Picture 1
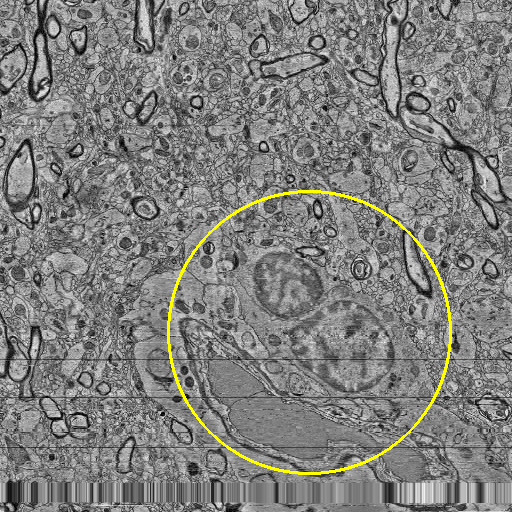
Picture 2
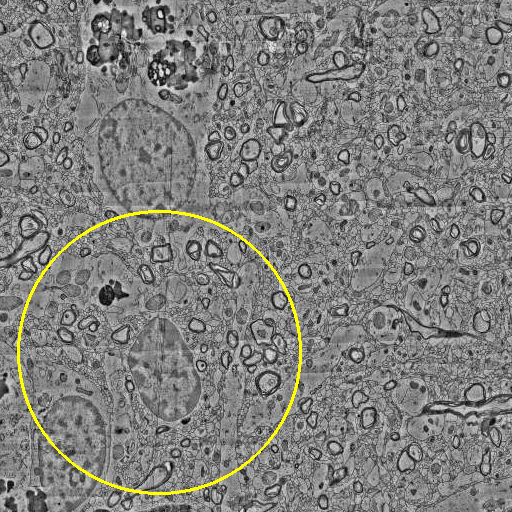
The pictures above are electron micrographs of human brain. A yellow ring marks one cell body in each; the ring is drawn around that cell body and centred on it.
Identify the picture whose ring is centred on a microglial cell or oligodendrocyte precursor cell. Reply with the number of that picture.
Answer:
2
